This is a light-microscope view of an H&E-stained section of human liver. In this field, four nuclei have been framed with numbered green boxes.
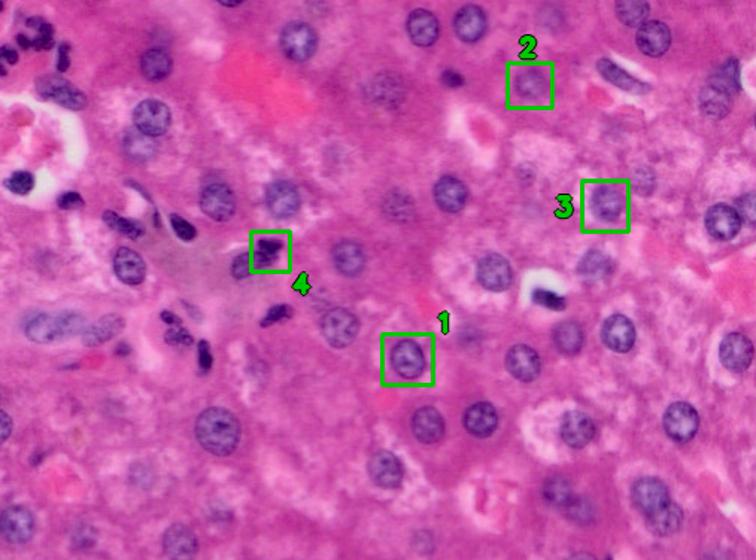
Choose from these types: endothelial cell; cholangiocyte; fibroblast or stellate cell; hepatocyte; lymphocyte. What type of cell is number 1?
hepatocyte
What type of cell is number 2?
hepatocyte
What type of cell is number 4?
fibroblast or stellate cell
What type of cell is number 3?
hepatocyte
